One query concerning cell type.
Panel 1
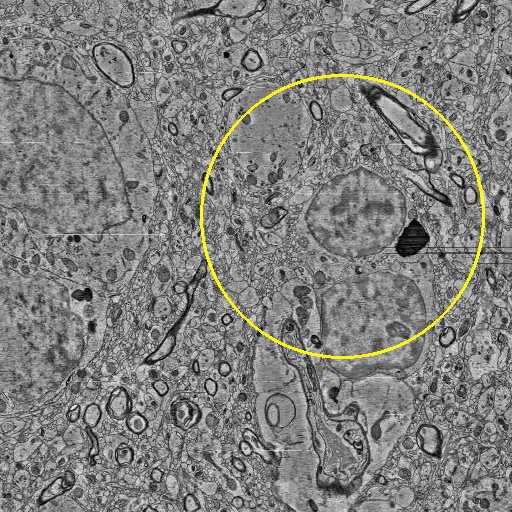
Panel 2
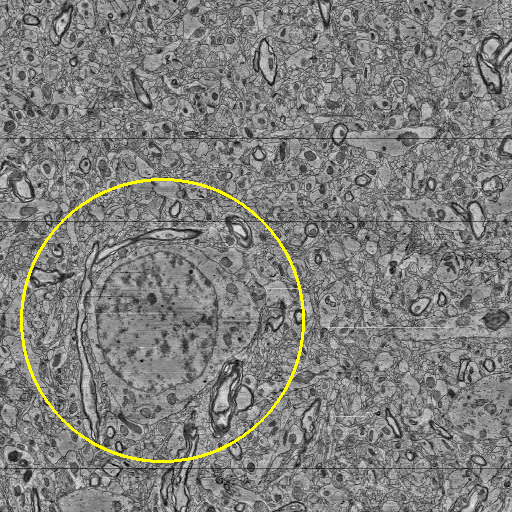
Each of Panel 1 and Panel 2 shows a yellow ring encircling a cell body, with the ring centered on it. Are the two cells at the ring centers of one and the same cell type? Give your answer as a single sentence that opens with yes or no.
No, the cell centered in Panel 1 and the one in Panel 2 are of two types.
